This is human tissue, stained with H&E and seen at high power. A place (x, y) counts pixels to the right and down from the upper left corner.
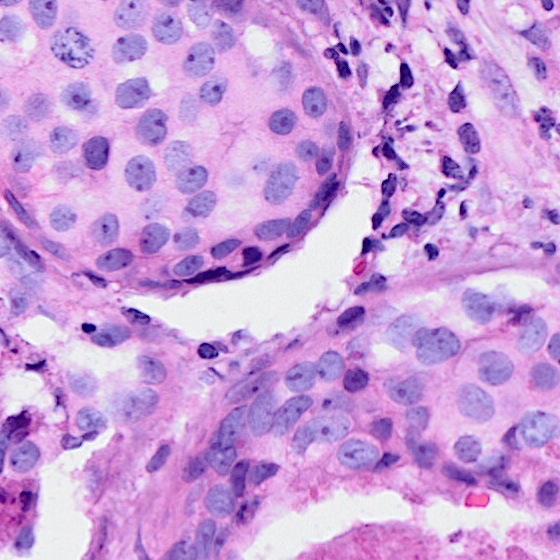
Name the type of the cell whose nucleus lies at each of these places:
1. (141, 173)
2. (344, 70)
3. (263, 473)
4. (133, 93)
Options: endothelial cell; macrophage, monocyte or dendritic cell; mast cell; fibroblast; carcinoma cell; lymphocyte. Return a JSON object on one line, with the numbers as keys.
{"1": "carcinoma cell", "2": "lymphocyte", "3": "carcinoma cell", "4": "carcinoma cell"}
